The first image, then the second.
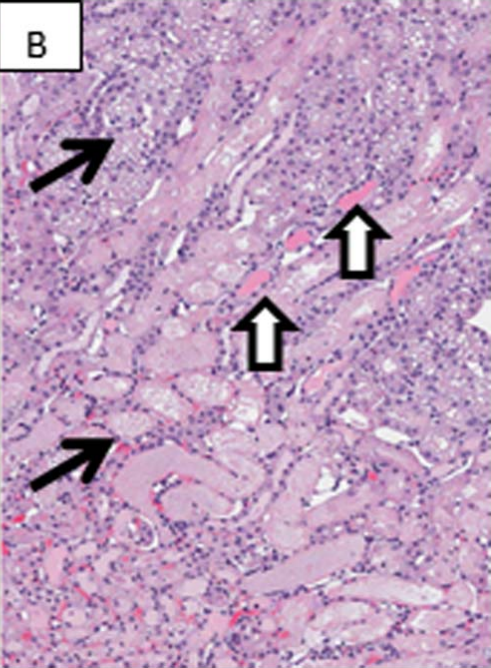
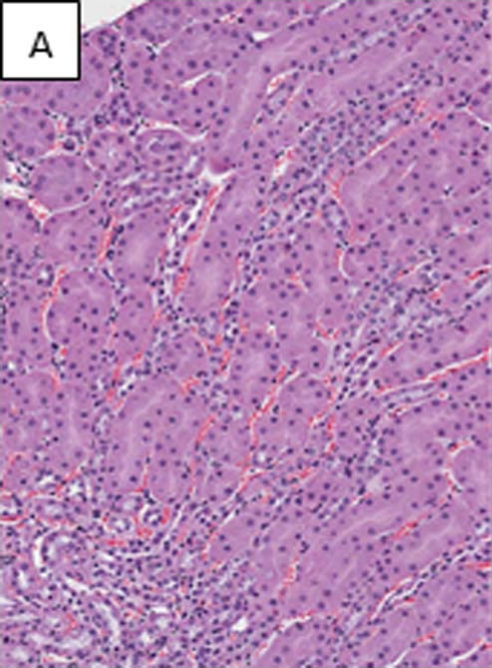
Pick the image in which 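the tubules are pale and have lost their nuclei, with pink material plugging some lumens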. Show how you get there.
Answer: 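The first image. First image: many tubules are pale and have few nuclei, and some lumens hold bright pink plugs. Second image: the tubules are lined by evenly pink cells, each with a round nucleus, and the lumens are clear.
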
